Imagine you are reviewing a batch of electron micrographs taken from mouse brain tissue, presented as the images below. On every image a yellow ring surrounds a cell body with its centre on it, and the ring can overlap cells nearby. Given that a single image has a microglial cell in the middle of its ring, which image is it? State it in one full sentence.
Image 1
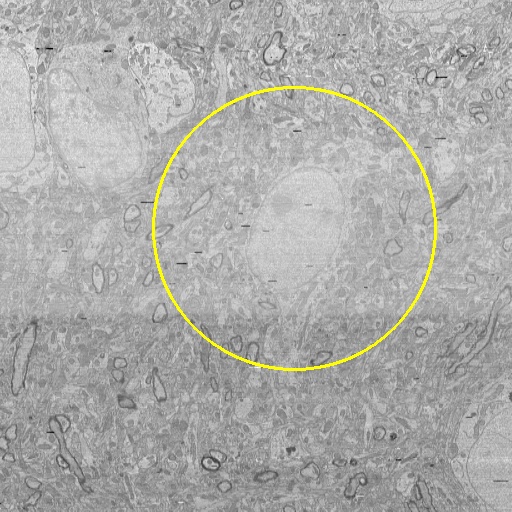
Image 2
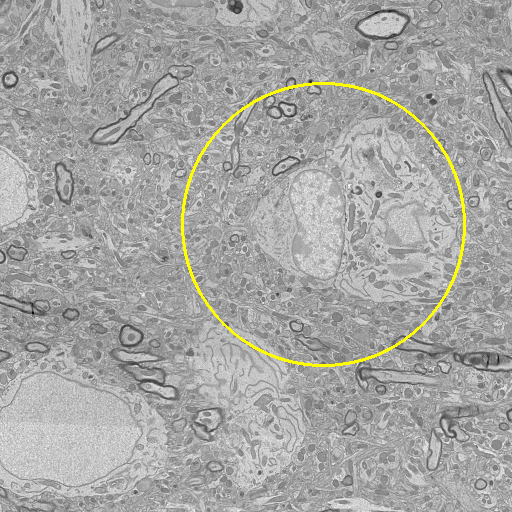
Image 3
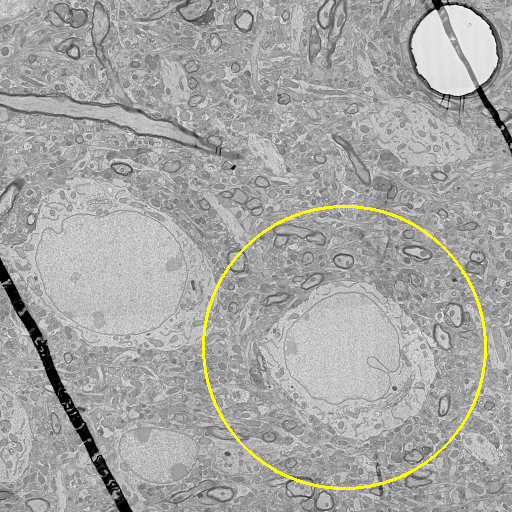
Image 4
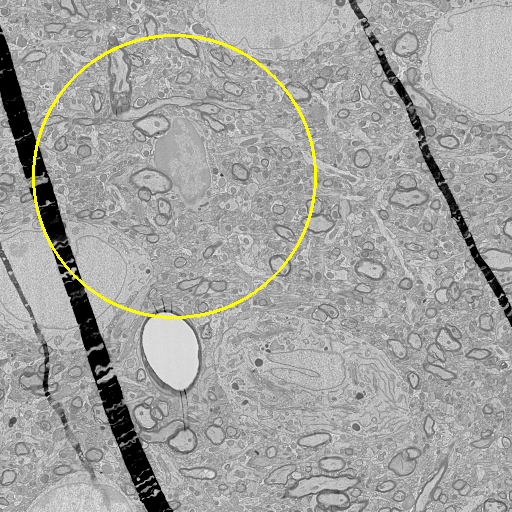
Of all the images, number 4 has the described cell at the centre of its ring.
